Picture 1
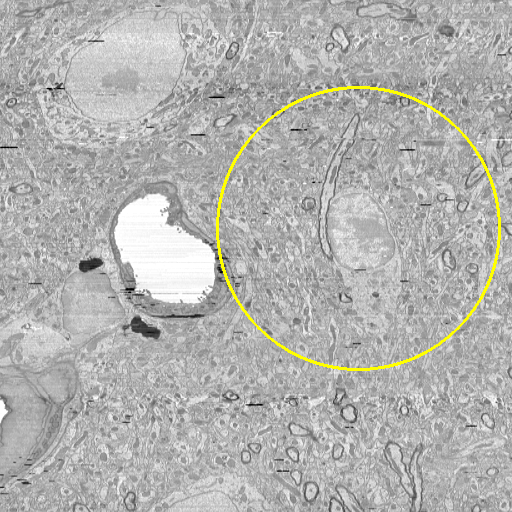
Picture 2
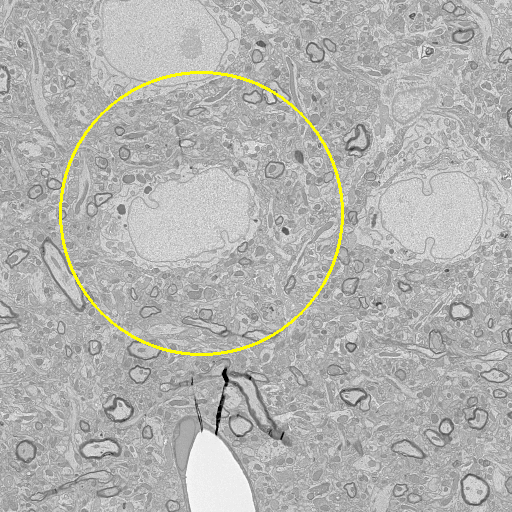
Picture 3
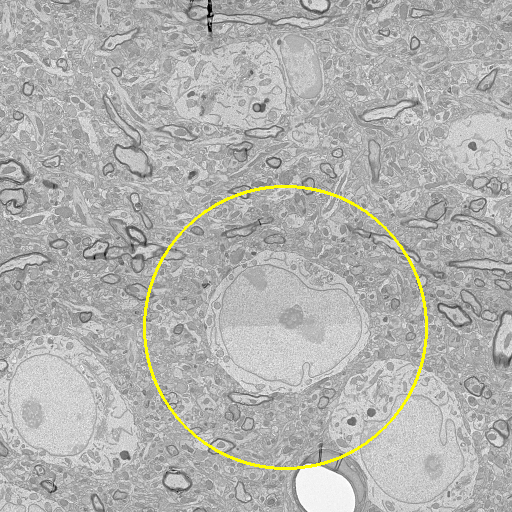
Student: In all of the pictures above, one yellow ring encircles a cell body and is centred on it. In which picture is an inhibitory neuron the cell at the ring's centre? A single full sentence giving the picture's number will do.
Picture number 2 has the wanted cell right at the centre of its ring.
